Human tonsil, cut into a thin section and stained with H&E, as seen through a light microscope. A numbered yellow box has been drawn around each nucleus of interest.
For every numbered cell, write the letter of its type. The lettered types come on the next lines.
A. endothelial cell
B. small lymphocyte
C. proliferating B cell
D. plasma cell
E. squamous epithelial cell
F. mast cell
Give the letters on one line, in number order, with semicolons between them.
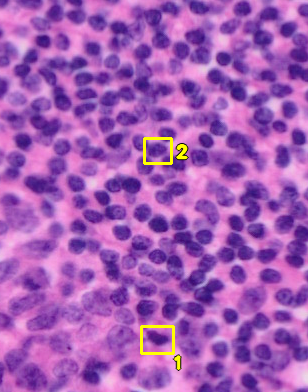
C; B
